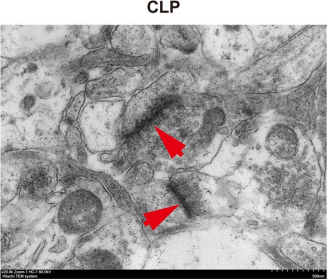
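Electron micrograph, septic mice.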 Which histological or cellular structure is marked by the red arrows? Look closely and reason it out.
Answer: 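Synaptic structures. The arrows point at electron-dense thickenings where two membranes face each other. Small round vesicles cluster near the dense thickenings.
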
